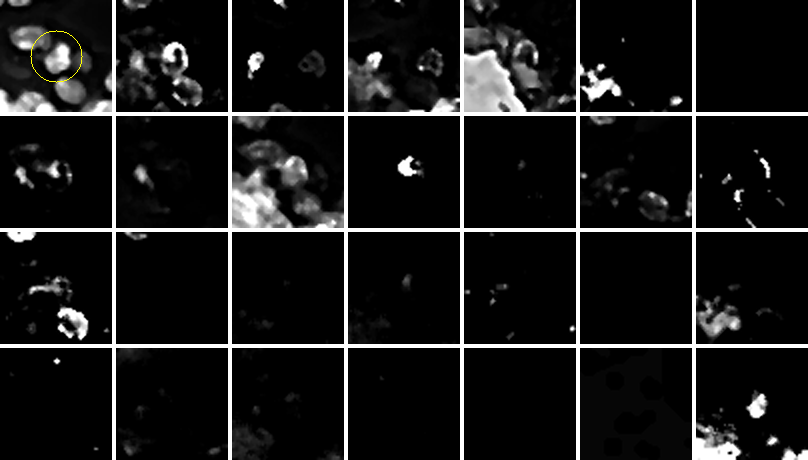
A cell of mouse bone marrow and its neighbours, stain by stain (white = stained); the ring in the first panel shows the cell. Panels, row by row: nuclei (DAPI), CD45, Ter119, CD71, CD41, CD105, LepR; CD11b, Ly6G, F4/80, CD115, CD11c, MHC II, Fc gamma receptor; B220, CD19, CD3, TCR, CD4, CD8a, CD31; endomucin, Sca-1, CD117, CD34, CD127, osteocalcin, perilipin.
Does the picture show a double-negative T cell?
No, it shows a monocyte.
